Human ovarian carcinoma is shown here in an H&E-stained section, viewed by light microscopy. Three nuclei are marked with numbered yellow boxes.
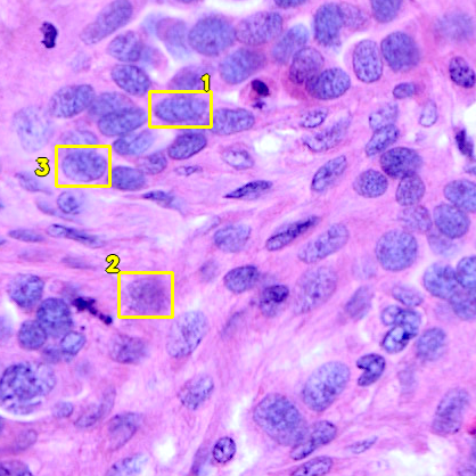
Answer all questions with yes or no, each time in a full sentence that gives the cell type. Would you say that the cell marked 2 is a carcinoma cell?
No, cell 2 is not a carcinoma cell. It is a fibroblast.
